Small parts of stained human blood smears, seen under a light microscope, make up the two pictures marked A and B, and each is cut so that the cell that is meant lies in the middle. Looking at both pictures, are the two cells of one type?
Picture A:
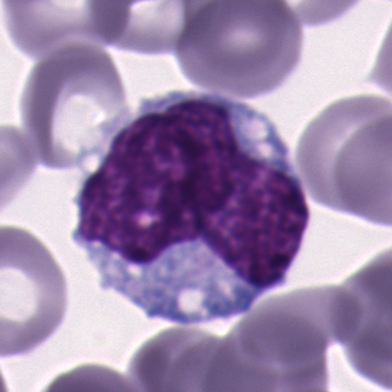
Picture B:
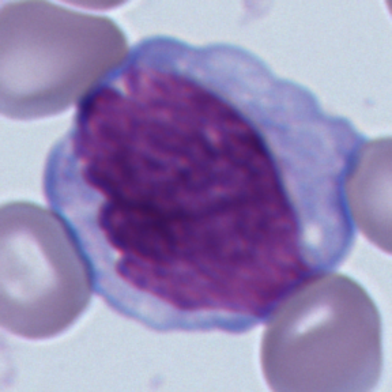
yes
